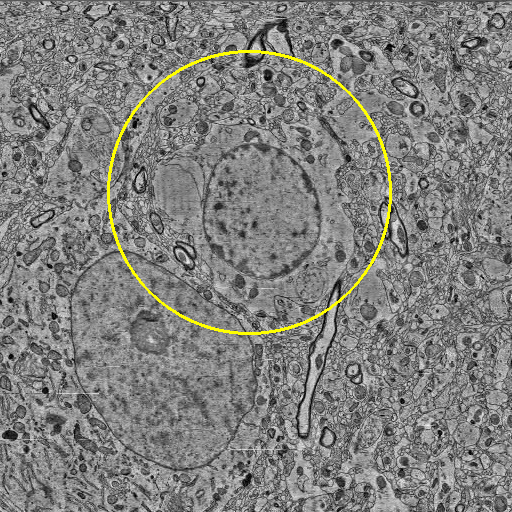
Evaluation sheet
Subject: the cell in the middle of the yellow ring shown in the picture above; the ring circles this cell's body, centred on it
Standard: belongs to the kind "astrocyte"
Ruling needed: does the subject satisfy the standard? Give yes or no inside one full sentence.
Yes, the cell in the middle of the ring in the picture above belongs to the stated kind.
